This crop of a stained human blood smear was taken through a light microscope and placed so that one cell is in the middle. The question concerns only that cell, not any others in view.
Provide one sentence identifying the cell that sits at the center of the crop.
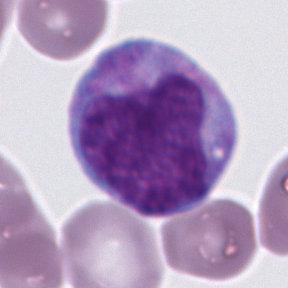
As for the central cell, it is an atypical promyelocyte.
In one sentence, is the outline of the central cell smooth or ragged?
Its outline is smooth, with no projections anywhere along the edge.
